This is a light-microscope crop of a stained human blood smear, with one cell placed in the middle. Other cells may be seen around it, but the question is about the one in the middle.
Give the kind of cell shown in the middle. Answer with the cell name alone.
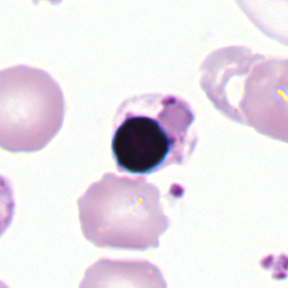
normoblast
